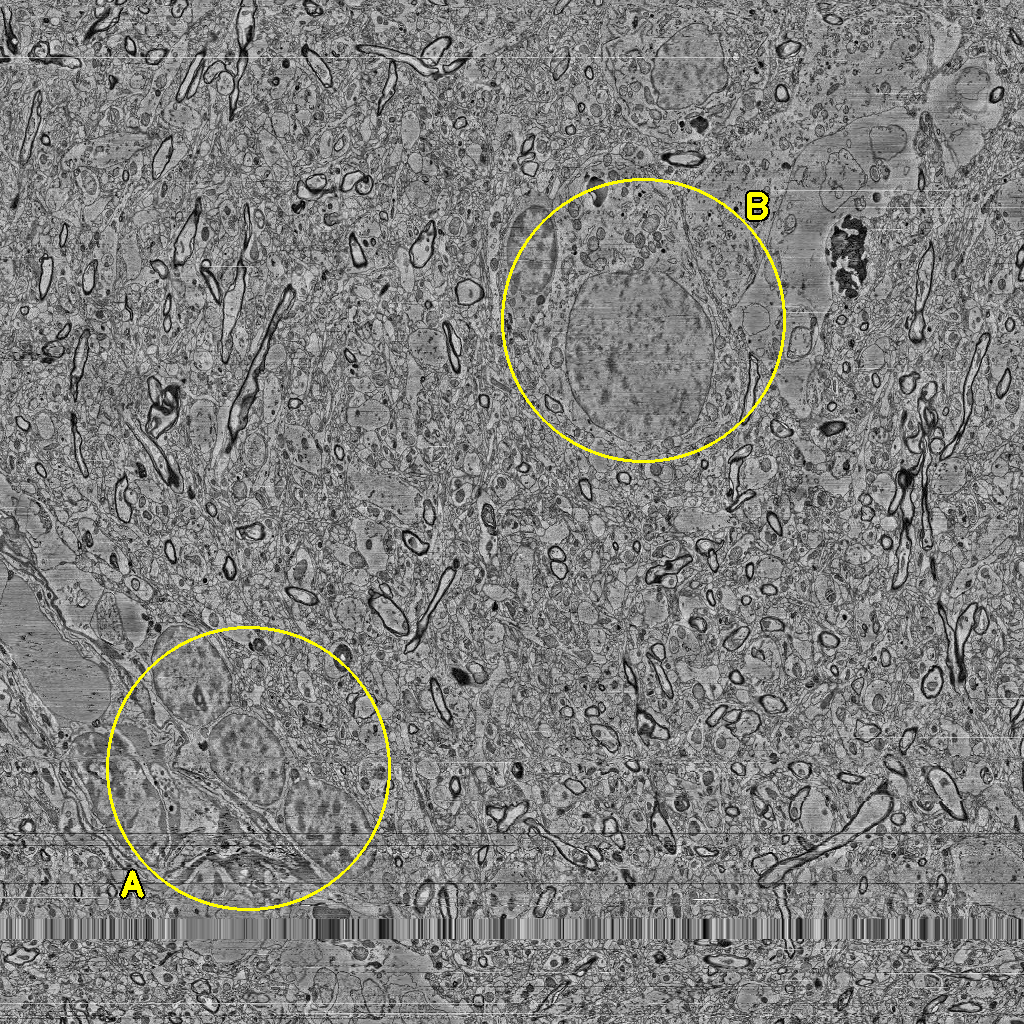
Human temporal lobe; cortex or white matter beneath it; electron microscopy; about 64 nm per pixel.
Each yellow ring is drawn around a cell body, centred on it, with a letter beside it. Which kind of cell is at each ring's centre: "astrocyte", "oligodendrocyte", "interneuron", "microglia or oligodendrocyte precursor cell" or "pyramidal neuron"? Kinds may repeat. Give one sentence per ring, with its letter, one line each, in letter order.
Ring A is centred on an oligodendrocyte.
Ring B is centred on an interneuron.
